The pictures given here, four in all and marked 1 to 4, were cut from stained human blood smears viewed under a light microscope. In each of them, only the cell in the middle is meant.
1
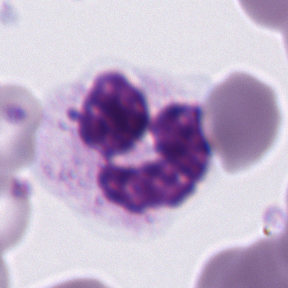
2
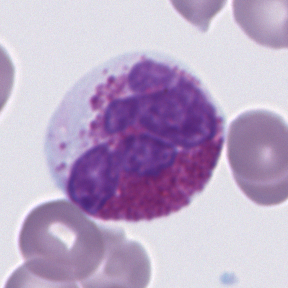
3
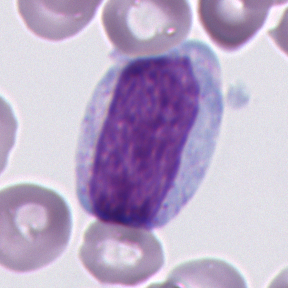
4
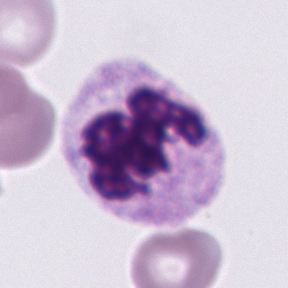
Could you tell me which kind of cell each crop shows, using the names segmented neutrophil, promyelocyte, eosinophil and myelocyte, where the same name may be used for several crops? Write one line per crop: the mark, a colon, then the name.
1: segmented neutrophil
2: eosinophil
3: myelocyte
4: segmented neutrophil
